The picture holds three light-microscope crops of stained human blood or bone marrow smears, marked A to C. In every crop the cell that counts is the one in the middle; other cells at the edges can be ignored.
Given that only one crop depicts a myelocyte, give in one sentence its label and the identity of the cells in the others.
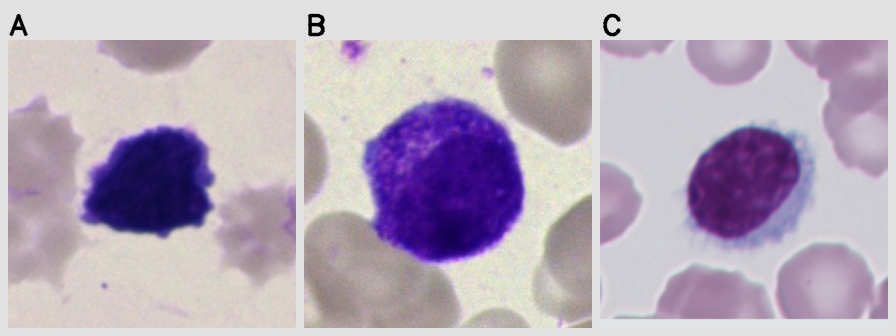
Found in crop B is a myelocyte, whereas crop A is a blast and crop C is a hairy cell.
